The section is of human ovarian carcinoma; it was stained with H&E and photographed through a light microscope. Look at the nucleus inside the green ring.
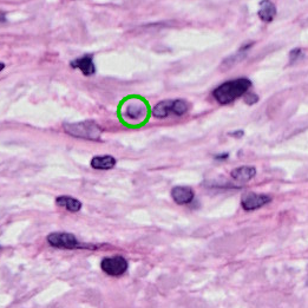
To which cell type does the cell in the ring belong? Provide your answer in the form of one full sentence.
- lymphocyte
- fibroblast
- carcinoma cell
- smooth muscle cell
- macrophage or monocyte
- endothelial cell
It is as a lymphocyte that the cell in the ring is classified.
